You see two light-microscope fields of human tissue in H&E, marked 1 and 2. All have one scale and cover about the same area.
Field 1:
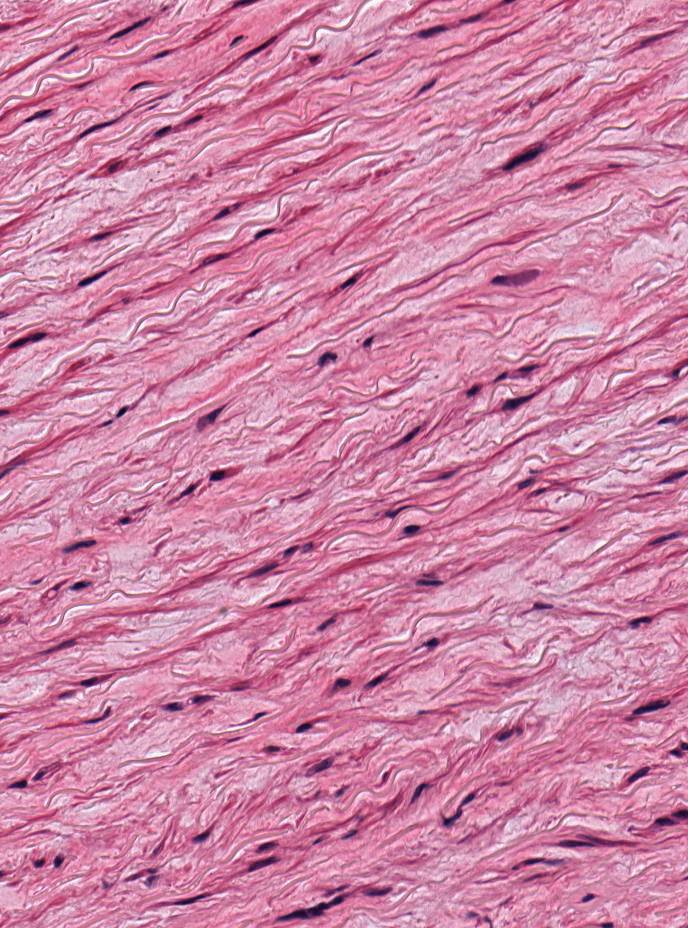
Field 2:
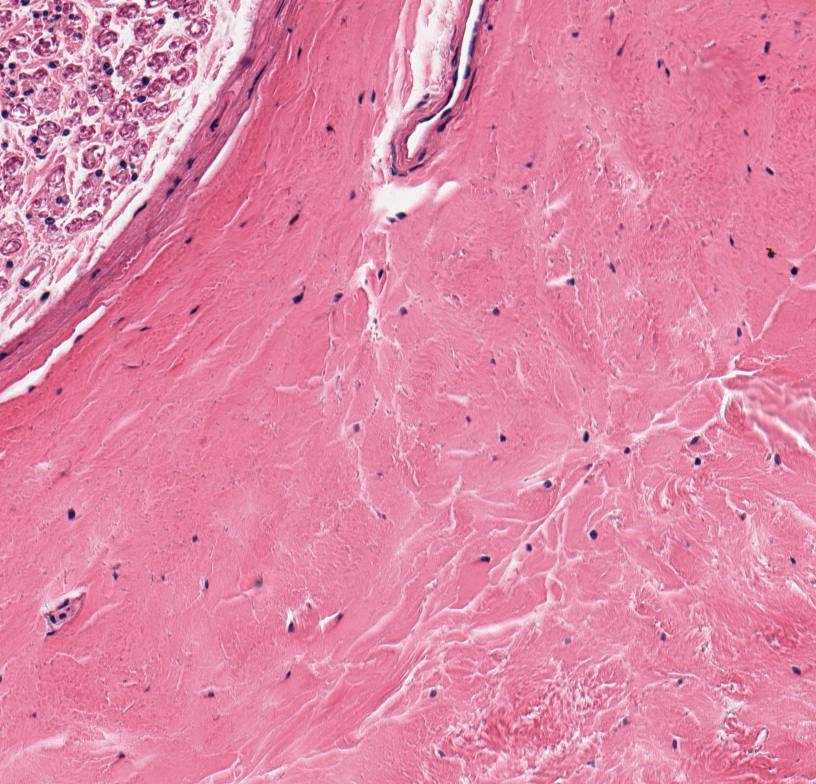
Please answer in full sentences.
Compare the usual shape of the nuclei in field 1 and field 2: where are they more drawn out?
On the whole the nuclei of field 1 are more drawn out than those of field 2.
